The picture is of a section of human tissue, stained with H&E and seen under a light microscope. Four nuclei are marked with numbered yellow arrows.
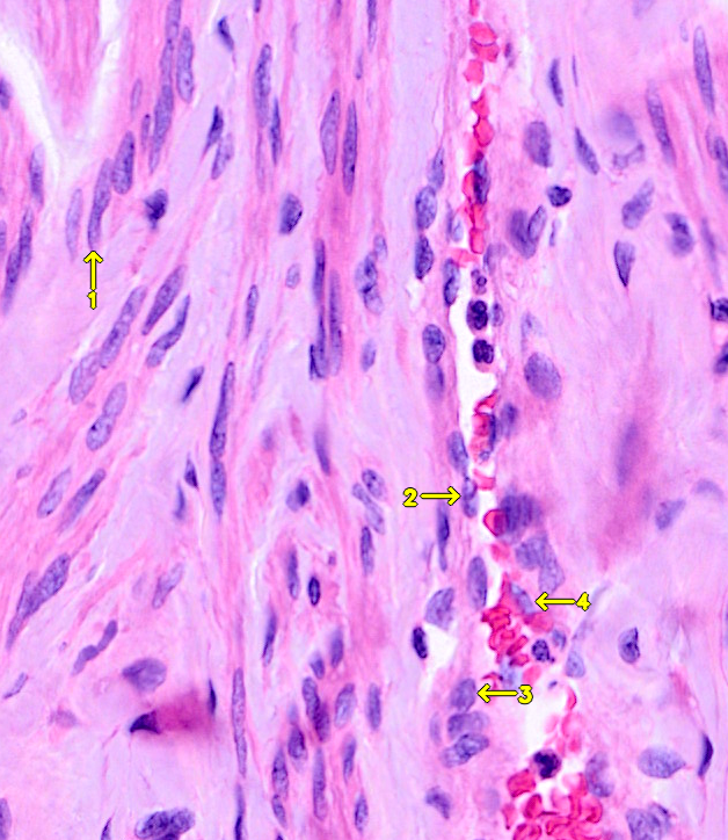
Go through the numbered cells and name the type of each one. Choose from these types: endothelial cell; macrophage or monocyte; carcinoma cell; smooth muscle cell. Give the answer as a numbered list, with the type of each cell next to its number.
1. smooth muscle cell
2. endothelial cell
3. endothelial cell
4. endothelial cell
